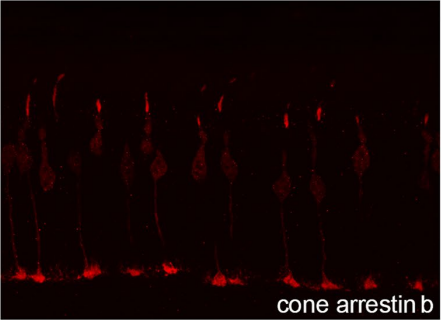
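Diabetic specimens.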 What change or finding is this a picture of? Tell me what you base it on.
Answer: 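The labelled cells have only short, stubby tips above their cell bodies. The long slender tapering outer parts are largely missing.
Hence: outer segment degeneration.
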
